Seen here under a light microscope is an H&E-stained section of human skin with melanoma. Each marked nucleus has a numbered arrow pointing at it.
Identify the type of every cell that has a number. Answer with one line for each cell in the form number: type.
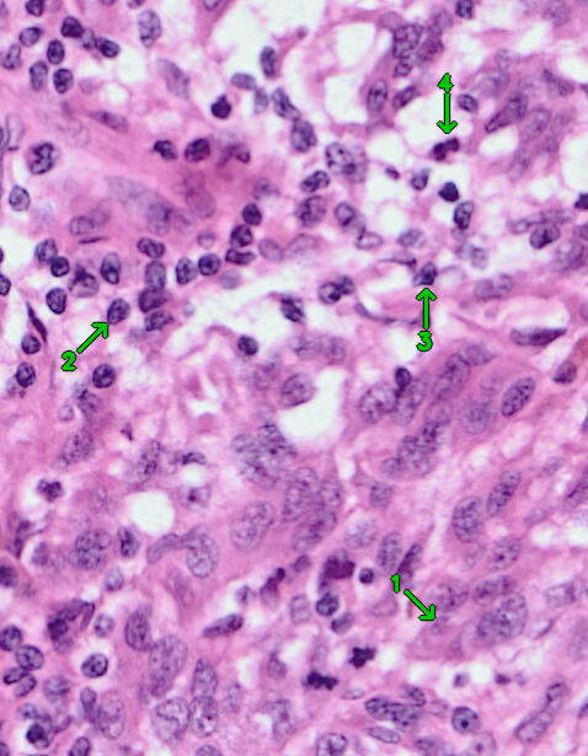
1: melanoma cell
2: lymphocyte
3: lymphocyte
4: lymphocyte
